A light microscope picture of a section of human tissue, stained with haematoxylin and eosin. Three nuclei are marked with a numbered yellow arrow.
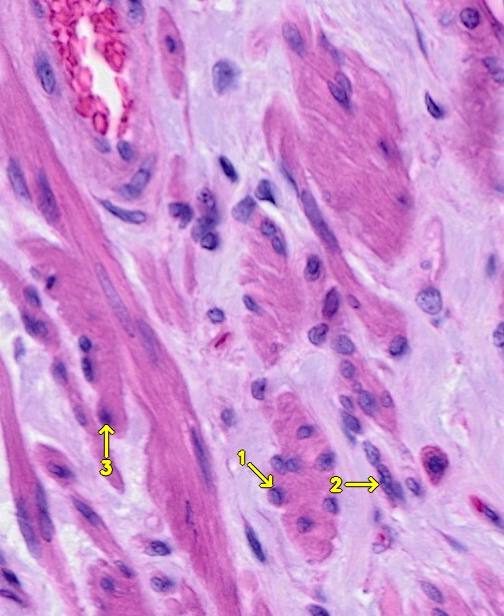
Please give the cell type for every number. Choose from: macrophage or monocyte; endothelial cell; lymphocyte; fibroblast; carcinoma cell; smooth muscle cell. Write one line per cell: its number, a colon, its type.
1: smooth muscle cell
2: endothelial cell
3: smooth muscle cell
